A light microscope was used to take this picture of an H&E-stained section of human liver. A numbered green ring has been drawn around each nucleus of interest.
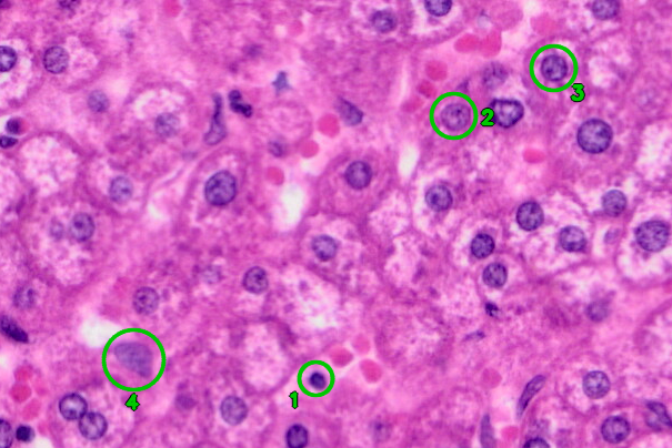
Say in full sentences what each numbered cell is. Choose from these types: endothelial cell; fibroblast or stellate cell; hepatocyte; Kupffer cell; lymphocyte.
Cell 1 is a lymphocyte, cell 2 is a hepatocyte, cell 3 is a hepatocyte and cell 4 is a Kupffer cell.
